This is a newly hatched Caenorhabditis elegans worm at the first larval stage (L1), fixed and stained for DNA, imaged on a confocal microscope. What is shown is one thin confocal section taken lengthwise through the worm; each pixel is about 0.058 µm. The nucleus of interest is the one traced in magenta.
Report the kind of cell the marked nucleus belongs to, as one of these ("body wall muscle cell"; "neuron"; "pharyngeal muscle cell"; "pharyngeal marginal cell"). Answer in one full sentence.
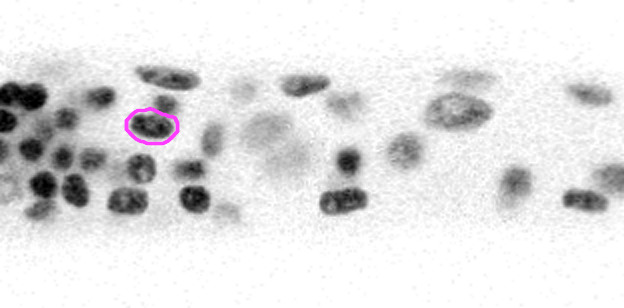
It belongs to a pharyngeal marginal cell.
